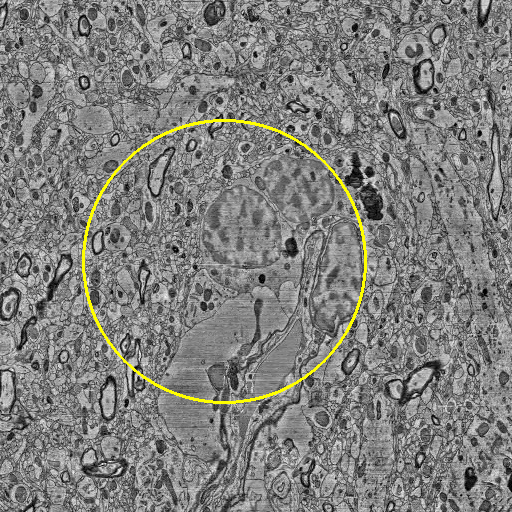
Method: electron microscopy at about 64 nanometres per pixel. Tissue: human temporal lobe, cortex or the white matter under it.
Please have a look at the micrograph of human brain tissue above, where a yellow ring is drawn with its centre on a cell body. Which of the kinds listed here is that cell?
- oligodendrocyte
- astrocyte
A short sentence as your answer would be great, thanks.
At the centre of the ring sits an oligodendrocyte.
